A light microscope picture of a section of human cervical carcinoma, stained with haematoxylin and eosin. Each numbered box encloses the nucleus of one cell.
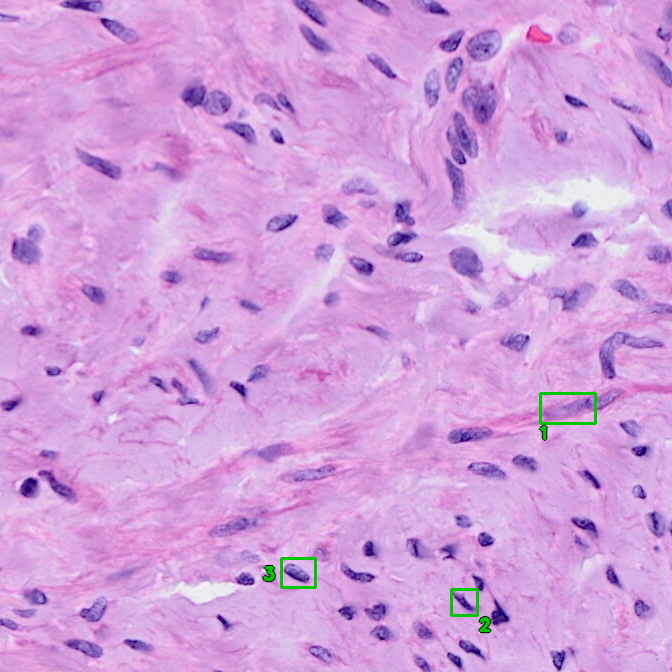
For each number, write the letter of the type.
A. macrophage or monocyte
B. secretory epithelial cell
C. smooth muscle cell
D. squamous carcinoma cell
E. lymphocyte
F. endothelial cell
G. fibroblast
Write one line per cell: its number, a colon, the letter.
1: C
2: G
3: G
